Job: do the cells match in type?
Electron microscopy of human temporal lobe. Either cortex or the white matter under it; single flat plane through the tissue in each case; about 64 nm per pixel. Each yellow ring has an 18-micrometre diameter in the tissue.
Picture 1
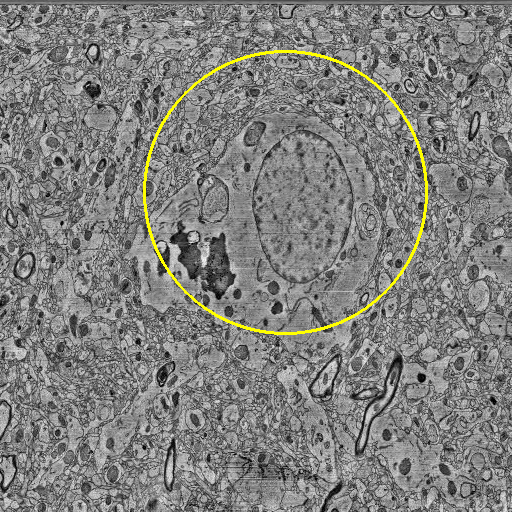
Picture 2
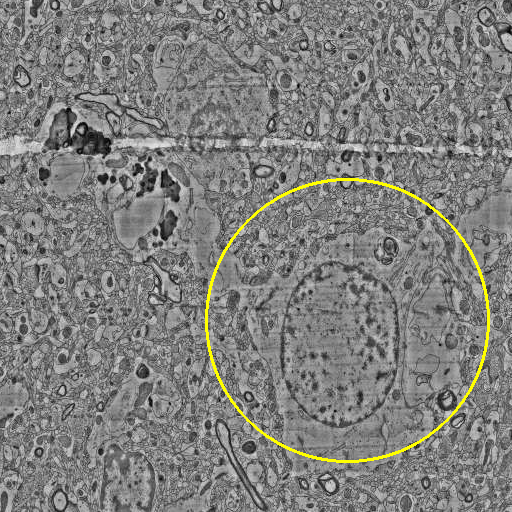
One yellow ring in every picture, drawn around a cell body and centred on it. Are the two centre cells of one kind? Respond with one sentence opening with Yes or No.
Yes, the ringed cells in the two pictures are of one and the same kind.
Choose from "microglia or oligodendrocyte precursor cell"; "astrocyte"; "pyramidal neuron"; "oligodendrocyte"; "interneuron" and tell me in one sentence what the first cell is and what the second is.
The second cell is an astrocyte, just as the first is.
